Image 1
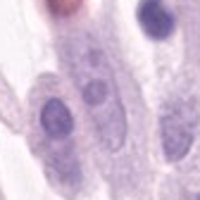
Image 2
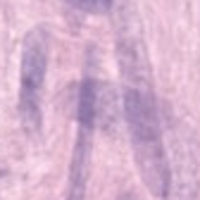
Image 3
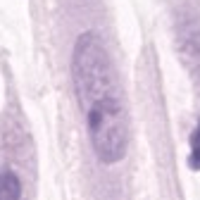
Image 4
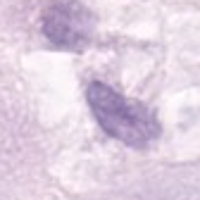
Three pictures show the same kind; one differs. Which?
Picture 2: a vascular myocyte, while the others are maternal decidual cells.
